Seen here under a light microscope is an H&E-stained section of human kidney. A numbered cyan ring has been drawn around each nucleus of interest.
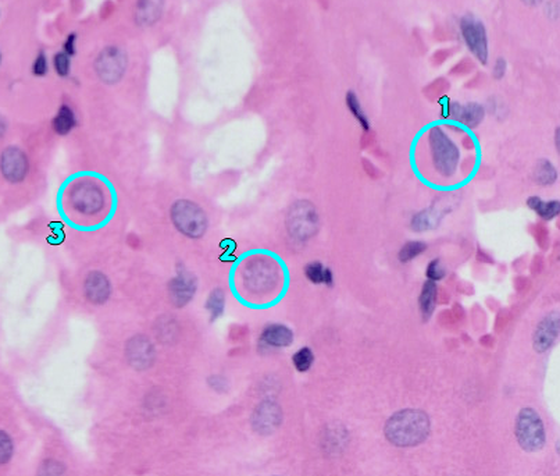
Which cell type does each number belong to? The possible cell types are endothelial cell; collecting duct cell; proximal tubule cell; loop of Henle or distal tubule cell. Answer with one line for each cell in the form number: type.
1: endothelial cell
2: proximal tubule cell
3: proximal tubule cell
